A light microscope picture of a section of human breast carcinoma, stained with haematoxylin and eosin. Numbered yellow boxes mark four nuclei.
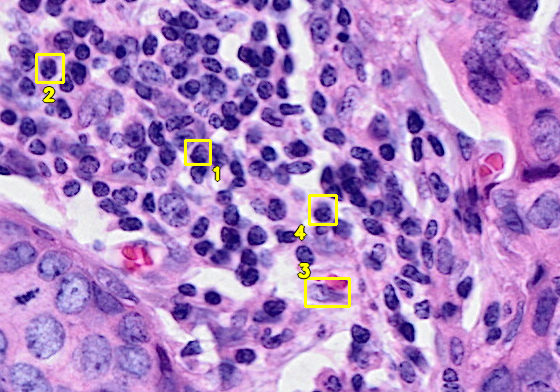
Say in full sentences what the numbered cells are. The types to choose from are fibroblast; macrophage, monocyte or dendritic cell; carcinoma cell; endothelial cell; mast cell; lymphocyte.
Cells 1, 2 and 4 are lymphocytes. Cell 3 is an endothelial cell.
